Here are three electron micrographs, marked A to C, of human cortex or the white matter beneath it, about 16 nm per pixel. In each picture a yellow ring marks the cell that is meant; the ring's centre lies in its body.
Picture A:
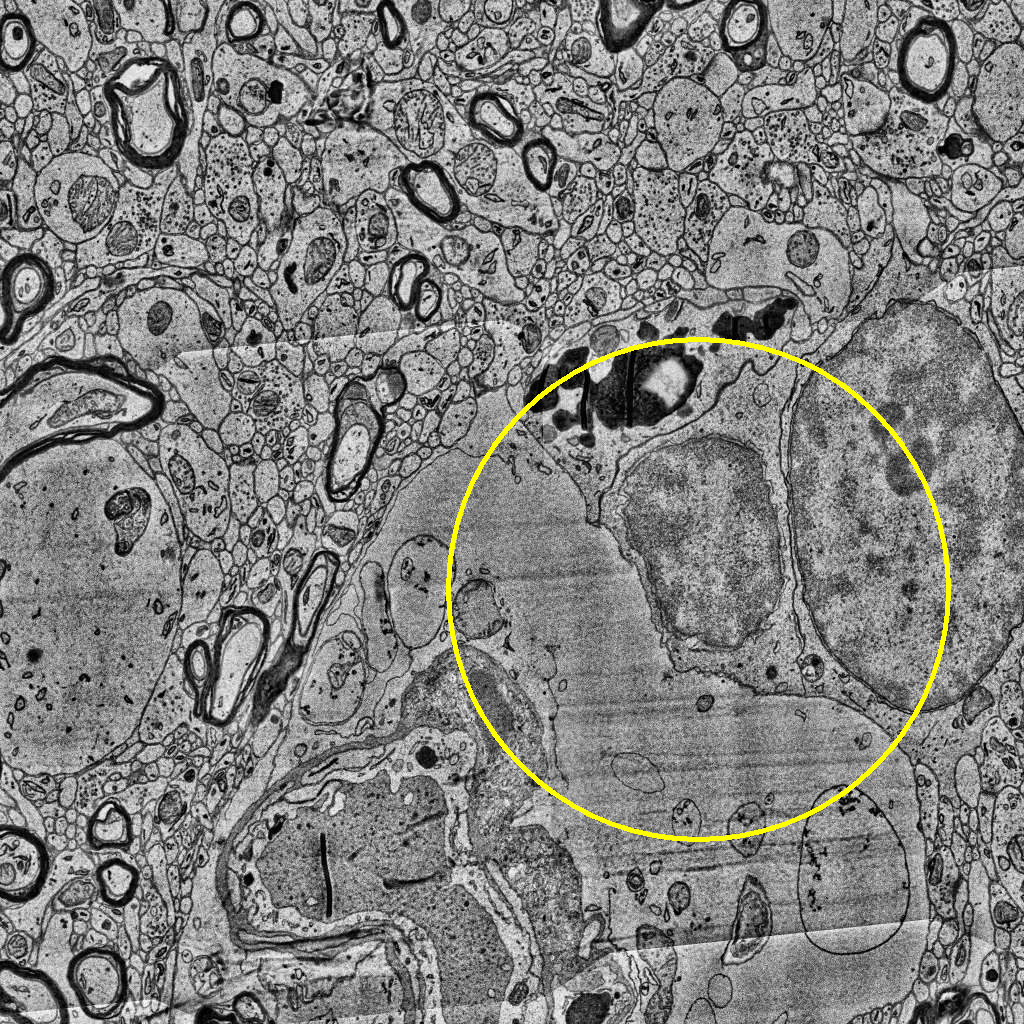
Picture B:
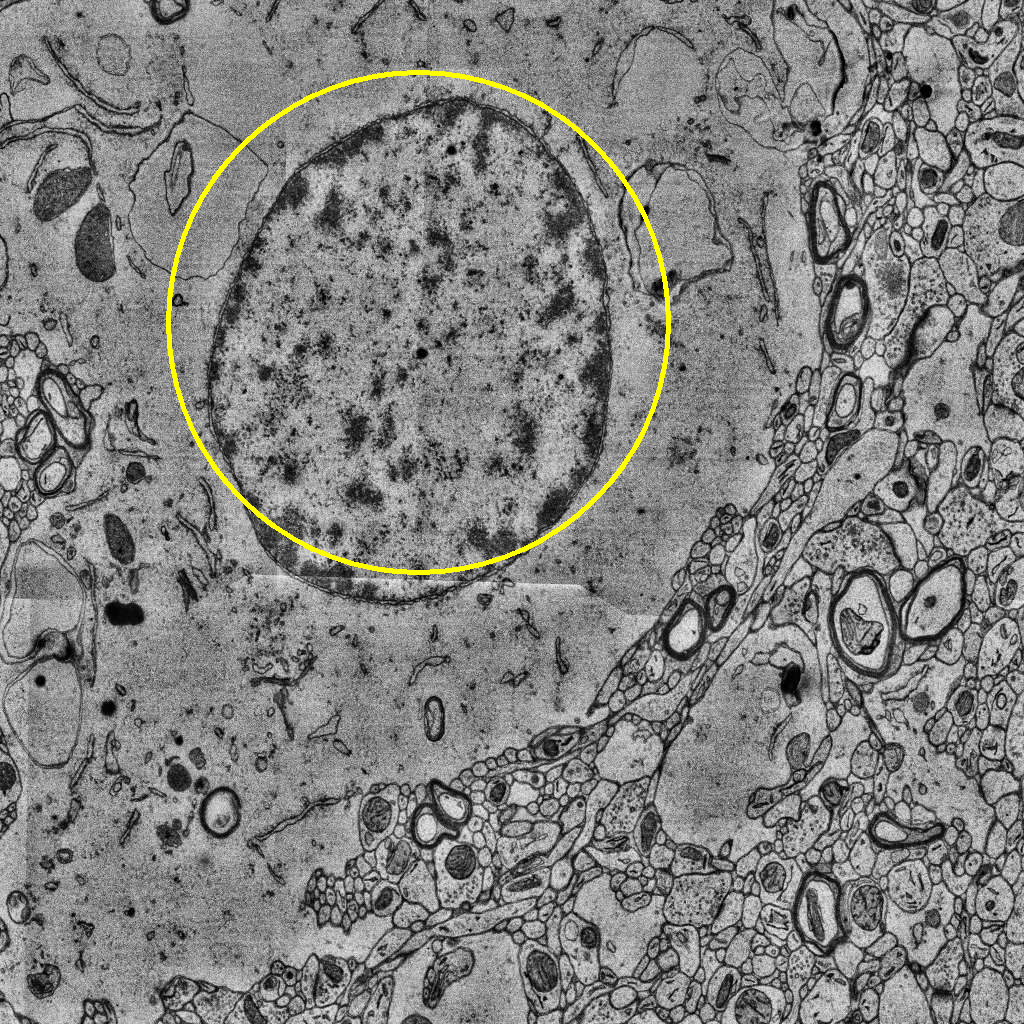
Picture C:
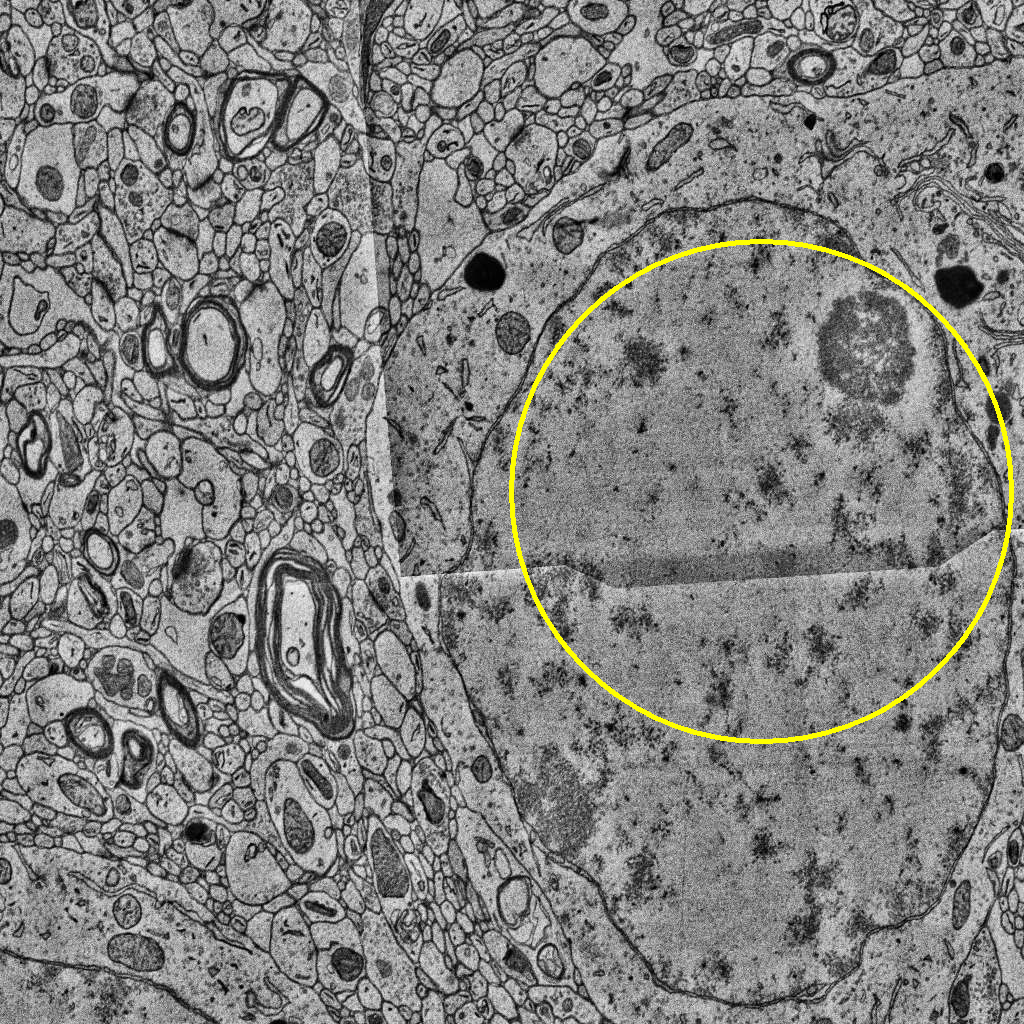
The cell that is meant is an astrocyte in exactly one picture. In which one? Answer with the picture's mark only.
B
